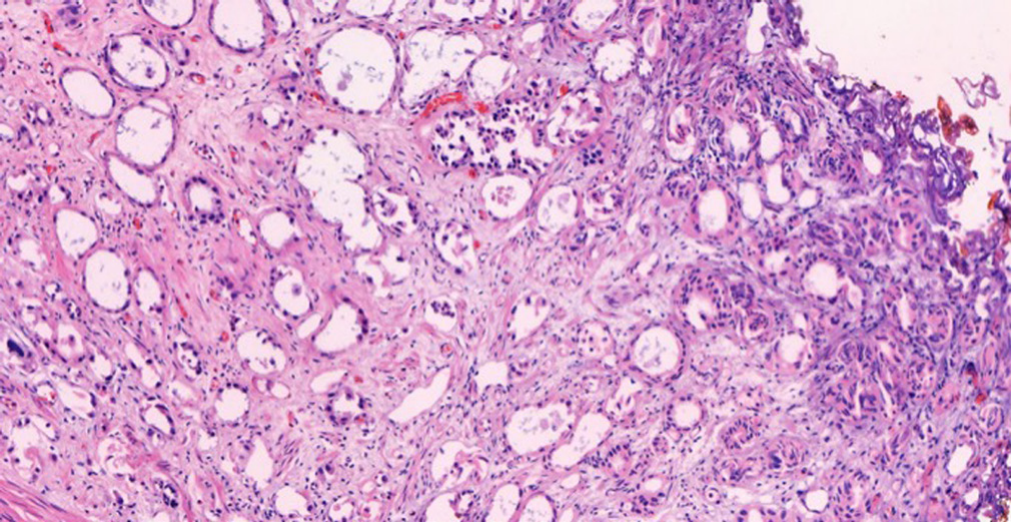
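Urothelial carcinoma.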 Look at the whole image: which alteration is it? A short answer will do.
lined by a single layer of cuboidal or flattened tumor cells with bland cytology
